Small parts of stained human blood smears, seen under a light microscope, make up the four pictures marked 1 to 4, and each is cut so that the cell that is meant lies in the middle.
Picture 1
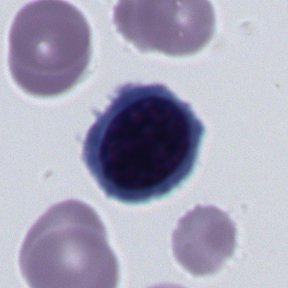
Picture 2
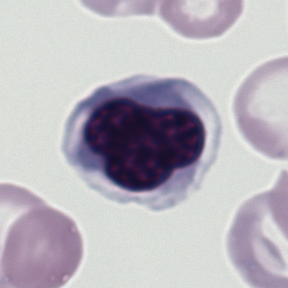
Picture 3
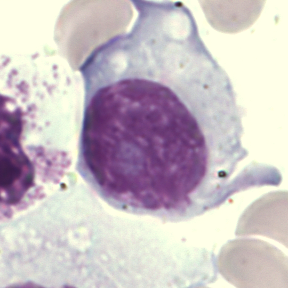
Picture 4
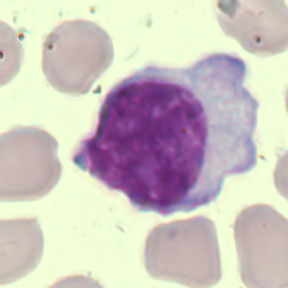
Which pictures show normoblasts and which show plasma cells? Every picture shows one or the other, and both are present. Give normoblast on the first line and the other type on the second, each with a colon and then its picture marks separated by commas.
normoblast: 1, 2
plasma cell: 3, 4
